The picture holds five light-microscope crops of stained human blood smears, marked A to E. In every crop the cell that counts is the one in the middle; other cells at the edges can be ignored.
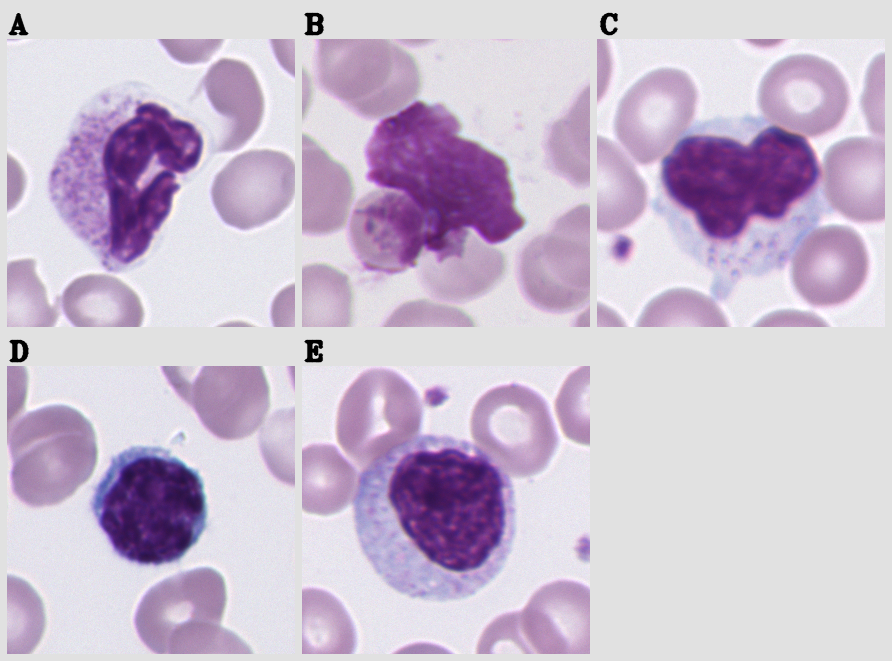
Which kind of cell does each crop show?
A: segmented neutrophil
B: smudge cell
C: large granular lymphocyte
D: typical lymphocyte
E: metamyelocyte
